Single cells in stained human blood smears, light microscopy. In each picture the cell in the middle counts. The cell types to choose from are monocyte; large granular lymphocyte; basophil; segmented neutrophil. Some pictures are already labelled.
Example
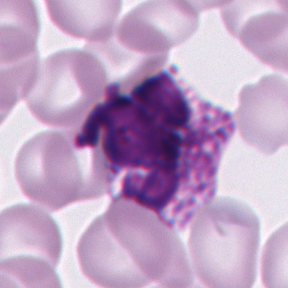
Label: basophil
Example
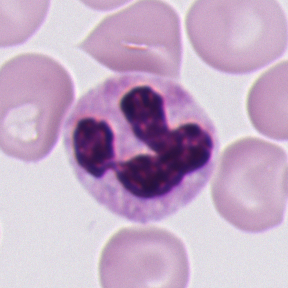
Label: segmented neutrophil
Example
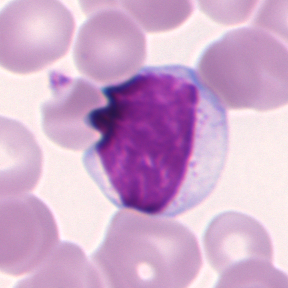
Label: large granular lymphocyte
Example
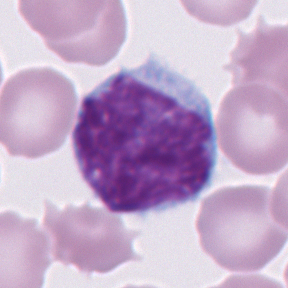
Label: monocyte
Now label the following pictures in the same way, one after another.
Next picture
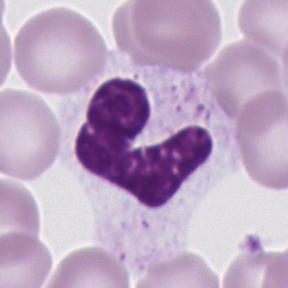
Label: segmented neutrophil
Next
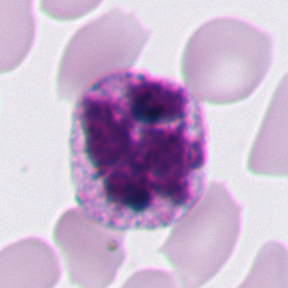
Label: basophil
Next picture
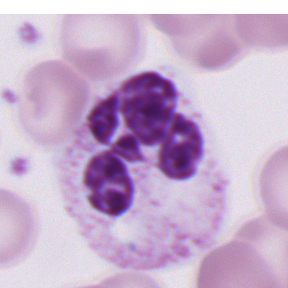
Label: segmented neutrophil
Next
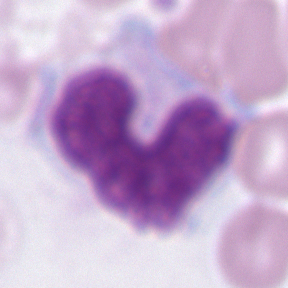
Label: monocyte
